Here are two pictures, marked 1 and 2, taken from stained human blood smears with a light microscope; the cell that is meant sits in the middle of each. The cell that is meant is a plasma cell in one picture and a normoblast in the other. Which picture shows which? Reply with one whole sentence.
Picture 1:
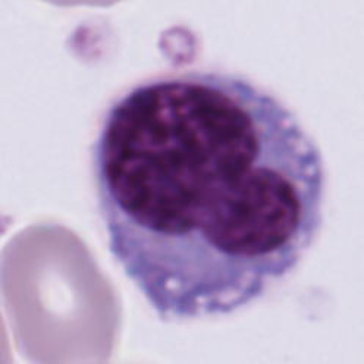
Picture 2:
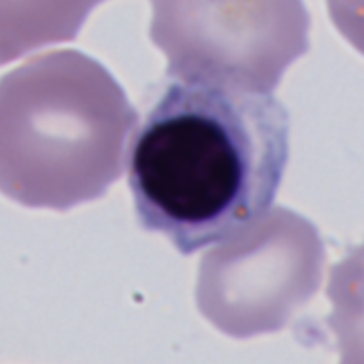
Picture 2 shows a normoblast, while picture 1 shows a plasma cell.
